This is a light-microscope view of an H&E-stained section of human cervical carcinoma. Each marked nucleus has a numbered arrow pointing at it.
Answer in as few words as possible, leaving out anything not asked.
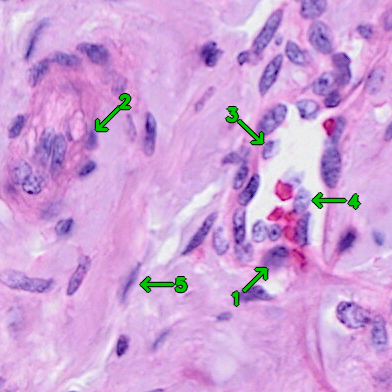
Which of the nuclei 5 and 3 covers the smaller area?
3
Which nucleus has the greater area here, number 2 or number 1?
1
